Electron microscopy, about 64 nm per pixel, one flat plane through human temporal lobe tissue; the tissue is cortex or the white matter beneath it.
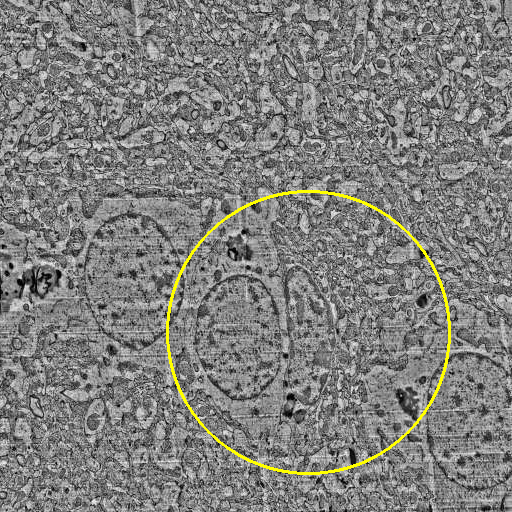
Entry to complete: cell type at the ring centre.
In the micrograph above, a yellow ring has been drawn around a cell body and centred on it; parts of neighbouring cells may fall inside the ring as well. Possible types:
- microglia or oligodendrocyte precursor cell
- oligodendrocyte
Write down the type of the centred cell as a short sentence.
The ring is centred on a microglial cell or oligodendrocyte precursor cell.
